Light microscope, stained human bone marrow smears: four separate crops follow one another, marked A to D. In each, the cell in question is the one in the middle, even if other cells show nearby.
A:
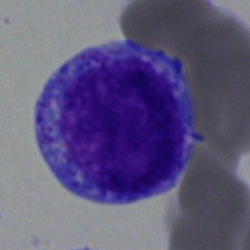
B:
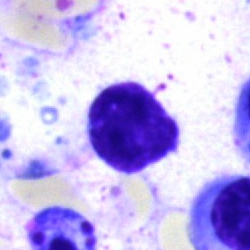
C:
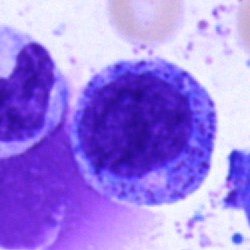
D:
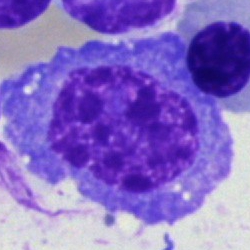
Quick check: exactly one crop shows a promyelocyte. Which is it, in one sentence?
On review of the set, crop C is the one showing a promyelocyte.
